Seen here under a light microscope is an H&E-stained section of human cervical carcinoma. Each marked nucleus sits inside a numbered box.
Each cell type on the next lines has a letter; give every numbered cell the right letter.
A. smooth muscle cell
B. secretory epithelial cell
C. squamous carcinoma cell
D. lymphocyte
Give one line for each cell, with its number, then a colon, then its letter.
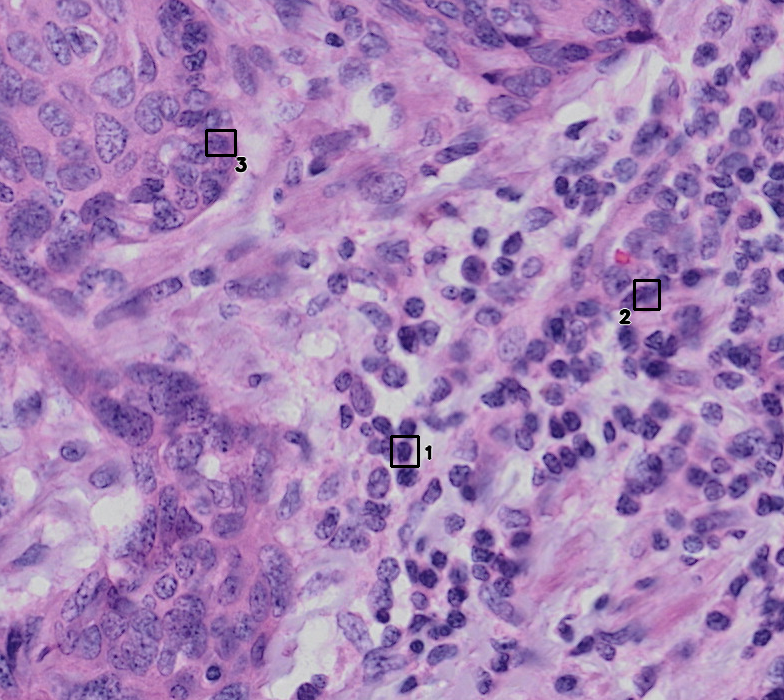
1: D
2: D
3: C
